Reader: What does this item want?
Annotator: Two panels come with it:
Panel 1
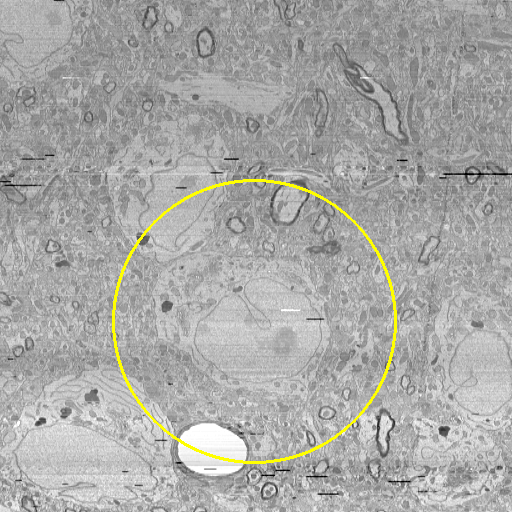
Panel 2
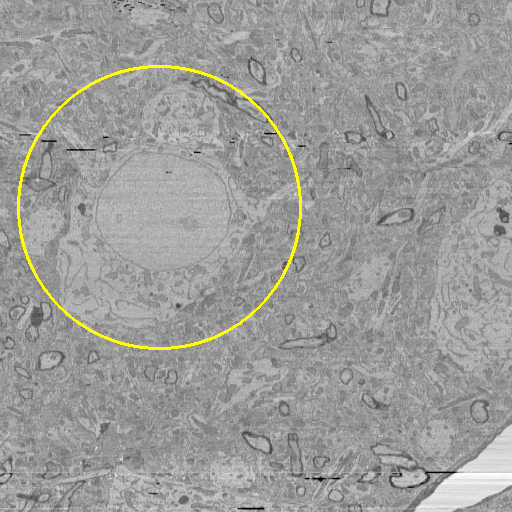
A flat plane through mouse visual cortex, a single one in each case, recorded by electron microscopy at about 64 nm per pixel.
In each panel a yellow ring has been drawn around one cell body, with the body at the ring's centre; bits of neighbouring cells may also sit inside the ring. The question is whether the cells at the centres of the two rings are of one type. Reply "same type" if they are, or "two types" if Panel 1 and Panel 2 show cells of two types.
same type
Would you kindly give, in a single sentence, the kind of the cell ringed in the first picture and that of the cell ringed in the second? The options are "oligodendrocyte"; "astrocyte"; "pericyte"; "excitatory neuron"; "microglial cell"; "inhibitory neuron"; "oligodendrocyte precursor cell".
In both pictures the ring is centred on an excitatory neuron.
